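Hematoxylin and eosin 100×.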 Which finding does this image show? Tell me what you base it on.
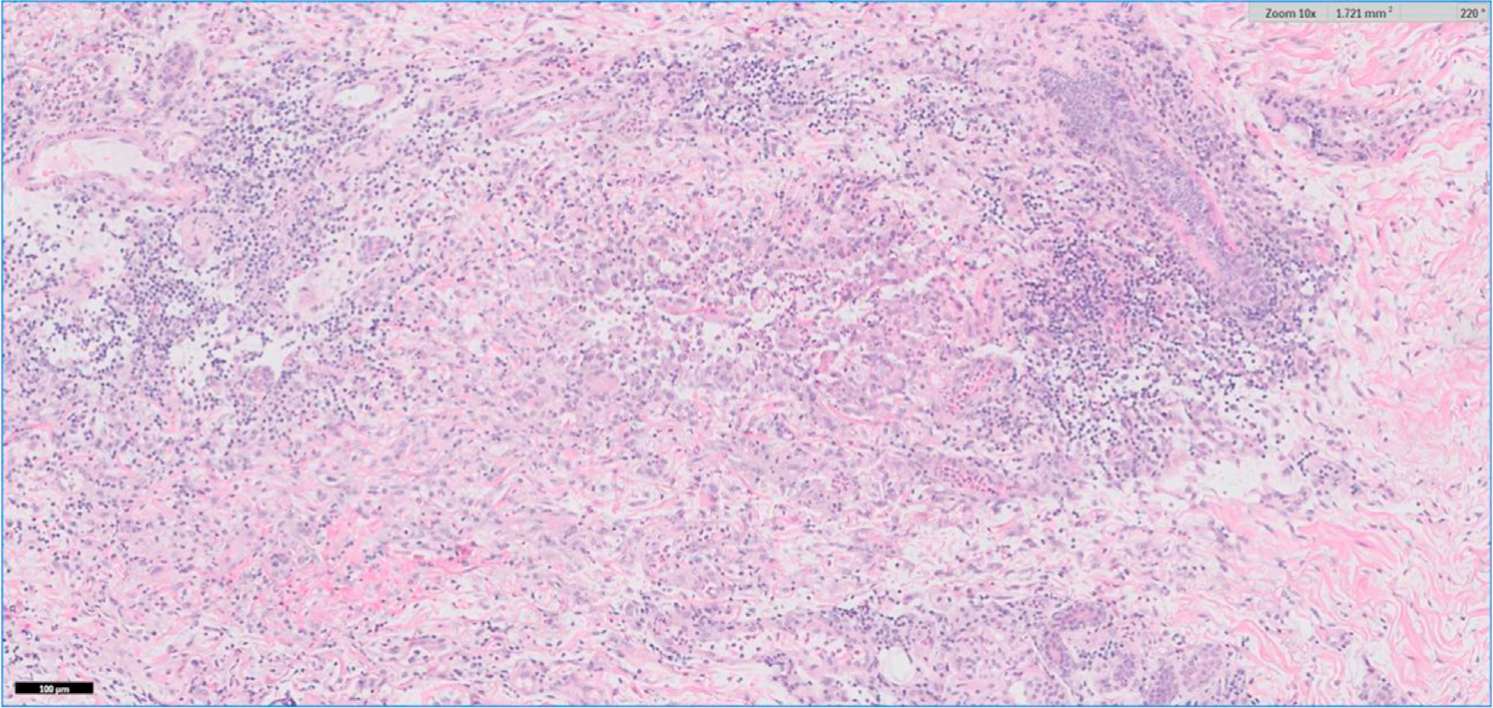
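Larger cells with paler oval nuclei and pink cytoplasm lie mixed among the small dark cells. The cells fill the stroma between collagen and vessels. That points to this answer: mixed inflammatory infiltrate.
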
